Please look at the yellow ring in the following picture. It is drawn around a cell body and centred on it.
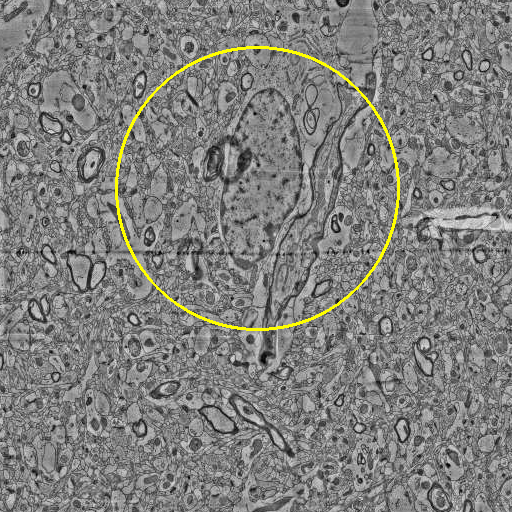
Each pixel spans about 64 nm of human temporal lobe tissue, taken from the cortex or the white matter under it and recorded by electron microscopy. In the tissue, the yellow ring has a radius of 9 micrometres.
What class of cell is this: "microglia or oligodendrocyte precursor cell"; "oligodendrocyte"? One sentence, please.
The ring surrounds the cell body of a microglial cell or oligodendrocyte precursor cell.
